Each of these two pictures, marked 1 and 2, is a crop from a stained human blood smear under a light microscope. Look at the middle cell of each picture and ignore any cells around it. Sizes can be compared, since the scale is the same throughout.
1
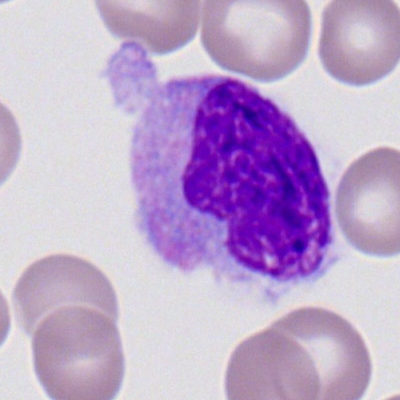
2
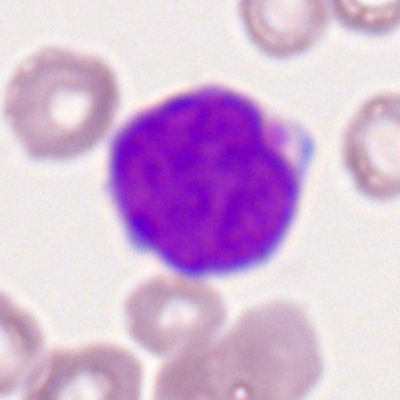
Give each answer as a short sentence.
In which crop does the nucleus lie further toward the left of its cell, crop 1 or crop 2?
It is the nucleus in crop 2 that lies further toward the left of its cell.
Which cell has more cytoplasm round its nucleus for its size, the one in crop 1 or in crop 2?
In crop 1 the nucleus takes up the smaller part of its cell.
